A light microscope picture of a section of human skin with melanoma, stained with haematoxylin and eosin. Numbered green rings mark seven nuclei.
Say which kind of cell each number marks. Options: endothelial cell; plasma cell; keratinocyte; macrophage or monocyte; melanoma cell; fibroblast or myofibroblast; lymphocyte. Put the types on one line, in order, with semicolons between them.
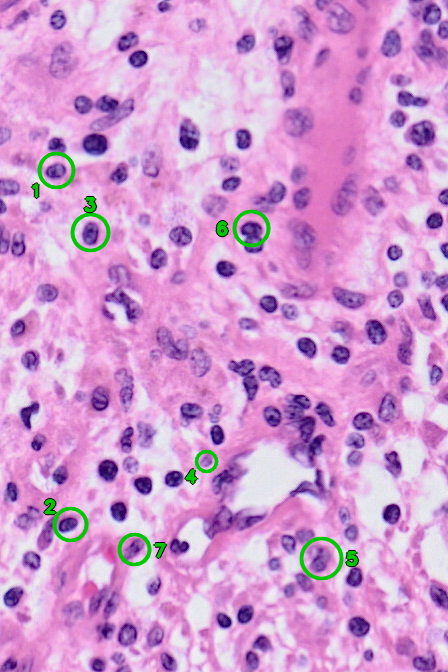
lymphocyte; lymphocyte; lymphocyte; macrophage or monocyte; macrophage or monocyte; lymphocyte; macrophage or monocyte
